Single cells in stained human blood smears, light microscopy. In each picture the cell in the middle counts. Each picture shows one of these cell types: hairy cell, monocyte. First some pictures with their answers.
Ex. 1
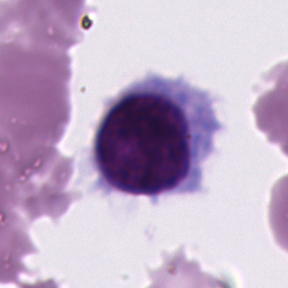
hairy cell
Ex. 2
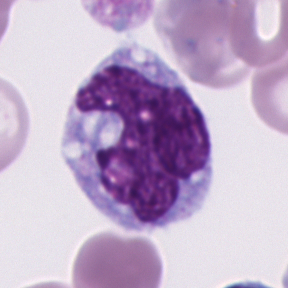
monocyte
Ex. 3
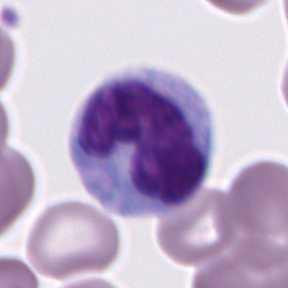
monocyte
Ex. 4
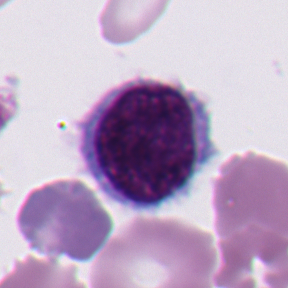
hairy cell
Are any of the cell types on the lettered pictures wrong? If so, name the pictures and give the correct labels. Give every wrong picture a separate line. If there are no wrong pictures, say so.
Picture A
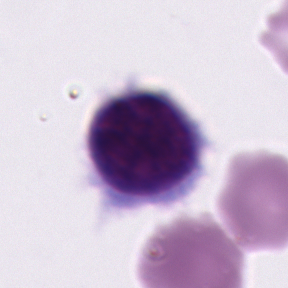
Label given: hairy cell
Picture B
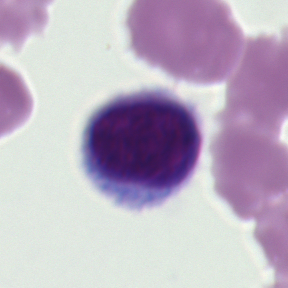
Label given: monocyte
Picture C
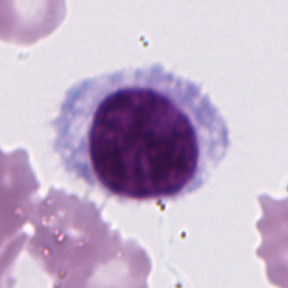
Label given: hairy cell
B: hairy cell, not monocyte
